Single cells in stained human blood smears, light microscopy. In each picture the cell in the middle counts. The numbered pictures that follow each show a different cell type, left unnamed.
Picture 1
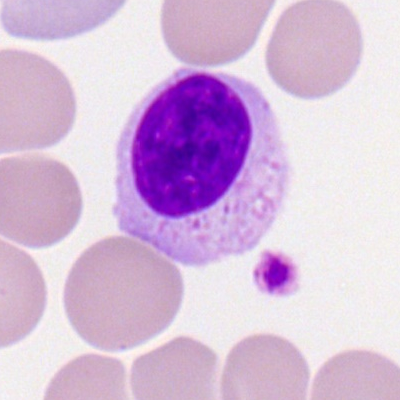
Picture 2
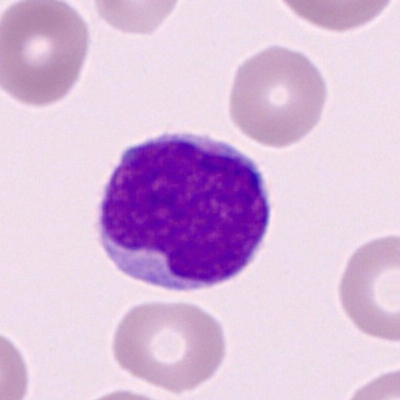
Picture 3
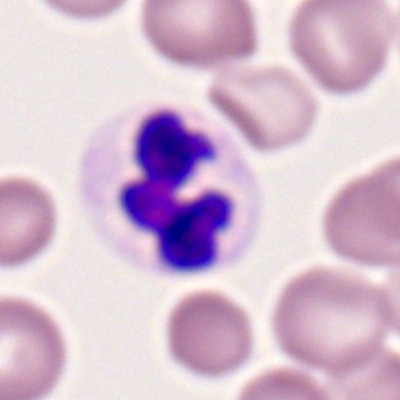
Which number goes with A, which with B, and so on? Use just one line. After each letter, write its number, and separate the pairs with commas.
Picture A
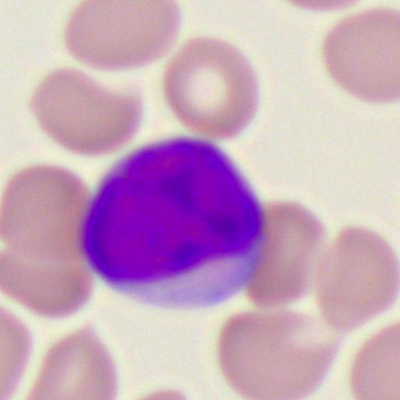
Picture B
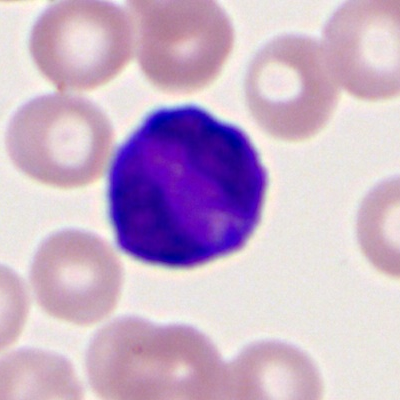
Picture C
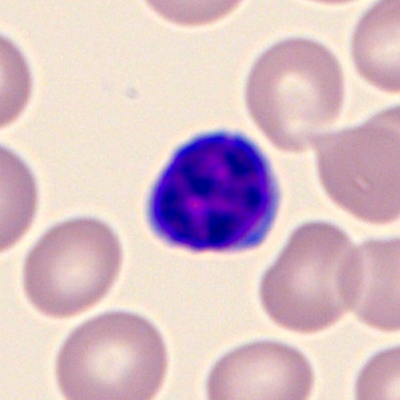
A 2, B 2, C 1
